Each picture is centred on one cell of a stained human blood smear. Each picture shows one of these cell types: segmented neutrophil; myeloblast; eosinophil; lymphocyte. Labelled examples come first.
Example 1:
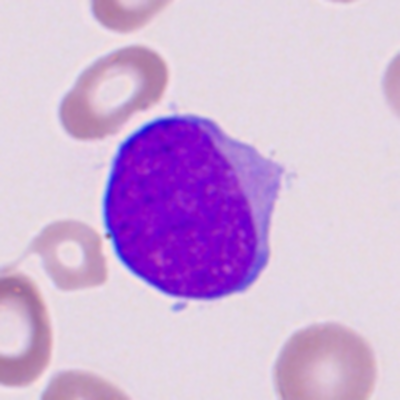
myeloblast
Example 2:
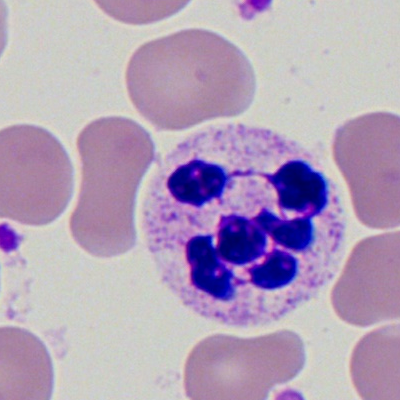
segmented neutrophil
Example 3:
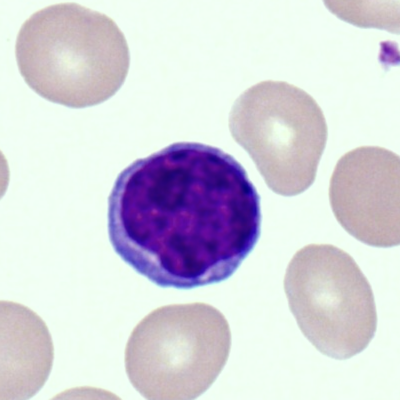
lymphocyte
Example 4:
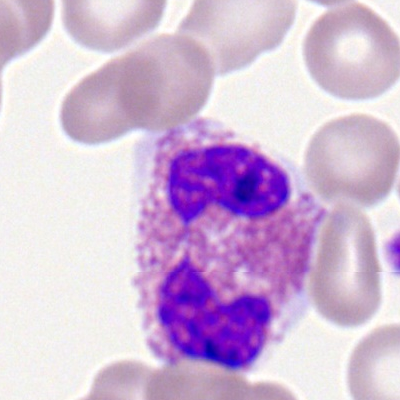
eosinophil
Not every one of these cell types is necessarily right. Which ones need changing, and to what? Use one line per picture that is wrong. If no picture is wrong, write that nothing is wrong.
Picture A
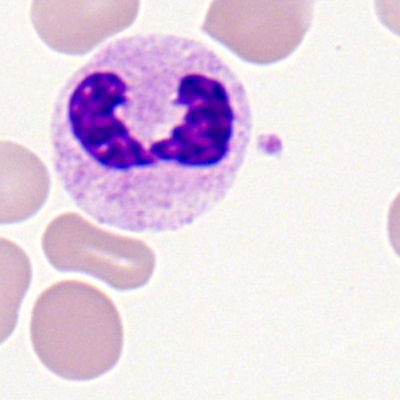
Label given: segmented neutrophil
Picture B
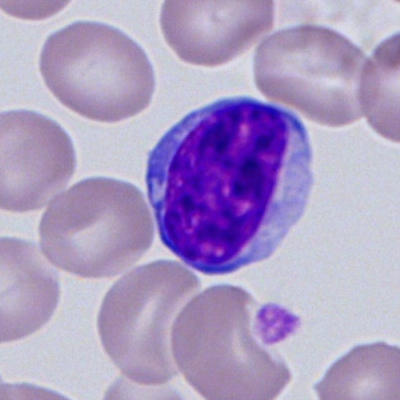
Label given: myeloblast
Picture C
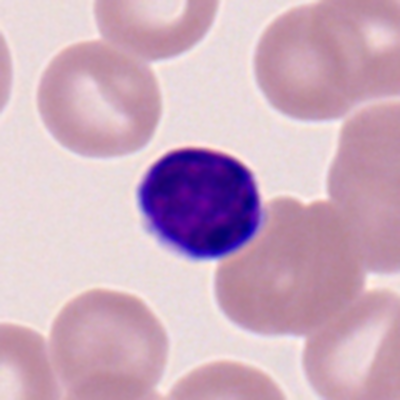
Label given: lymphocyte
B: change myeloblast to lymphocyte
